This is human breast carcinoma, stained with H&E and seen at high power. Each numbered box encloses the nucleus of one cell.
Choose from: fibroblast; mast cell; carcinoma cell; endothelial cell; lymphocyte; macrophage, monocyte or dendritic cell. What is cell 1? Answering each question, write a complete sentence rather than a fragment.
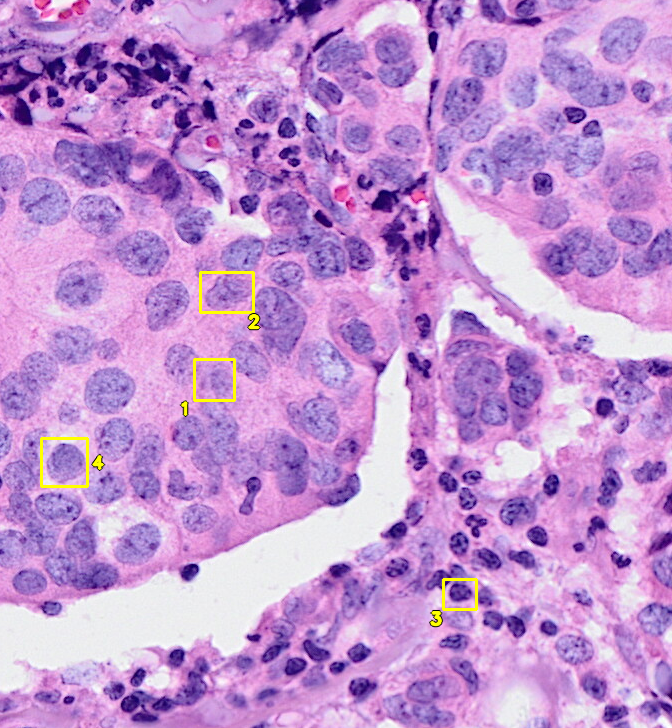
Number 1 is placed on a carcinoma cell here.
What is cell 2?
Within this field of view, the cell labelled 2 is a carcinoma cell.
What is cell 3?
Number 3 among the marked cells is a lymphocyte.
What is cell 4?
The cell pointed out by number 4 is a carcinoma cell.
